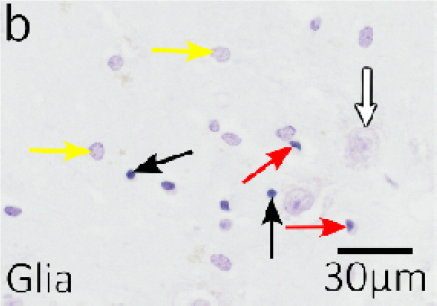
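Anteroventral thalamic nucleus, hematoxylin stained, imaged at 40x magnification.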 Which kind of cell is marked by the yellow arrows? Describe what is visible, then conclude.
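Astroglia. The yellow arrows point to pale, oval nuclei of medium size. No visible cytoplasm surrounds these nuclei.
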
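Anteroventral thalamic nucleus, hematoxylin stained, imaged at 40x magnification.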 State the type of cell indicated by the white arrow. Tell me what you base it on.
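The white arrow points to a large pale cell body with surrounding cytoplasm. It is larger than the small nuclei scattered around it. On this evidence: neurons.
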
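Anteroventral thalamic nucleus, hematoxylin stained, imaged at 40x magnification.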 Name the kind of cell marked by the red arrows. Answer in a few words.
microglia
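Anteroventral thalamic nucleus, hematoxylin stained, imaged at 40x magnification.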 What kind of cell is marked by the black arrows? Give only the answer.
Oligodendrocytes.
